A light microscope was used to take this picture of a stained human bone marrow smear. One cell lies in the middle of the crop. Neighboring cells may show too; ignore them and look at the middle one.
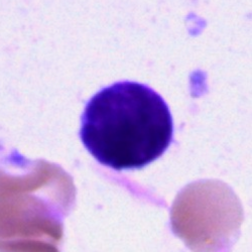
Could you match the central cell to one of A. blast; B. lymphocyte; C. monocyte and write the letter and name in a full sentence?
The correct choice is option B, which identifies the middle cell as a lymphocyte.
